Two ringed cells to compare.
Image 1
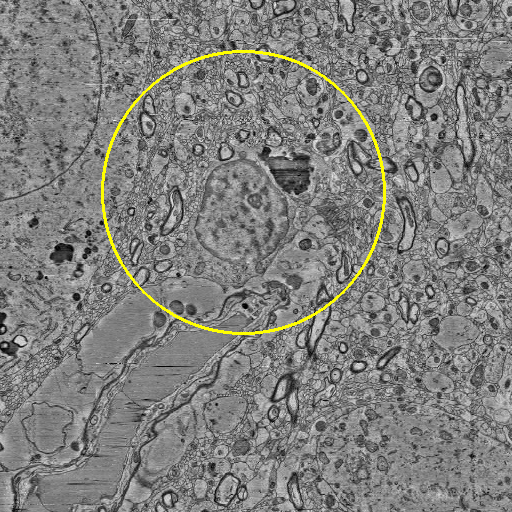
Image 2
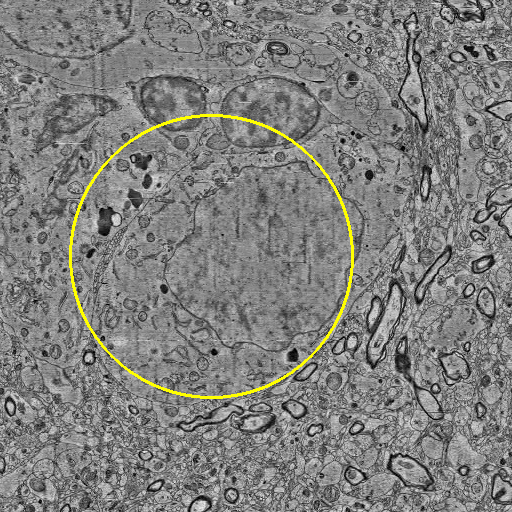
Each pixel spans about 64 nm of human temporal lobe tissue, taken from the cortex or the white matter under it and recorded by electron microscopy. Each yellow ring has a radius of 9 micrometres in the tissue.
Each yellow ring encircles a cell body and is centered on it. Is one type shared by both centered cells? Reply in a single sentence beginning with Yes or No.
No, two types are found among the cells at the centers of the rings.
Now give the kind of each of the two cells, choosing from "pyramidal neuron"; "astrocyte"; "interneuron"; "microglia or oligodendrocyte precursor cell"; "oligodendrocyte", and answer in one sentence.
The cell in the first picture is an oligodendrocyte, and the cell in the second is a pyramidal neuron.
